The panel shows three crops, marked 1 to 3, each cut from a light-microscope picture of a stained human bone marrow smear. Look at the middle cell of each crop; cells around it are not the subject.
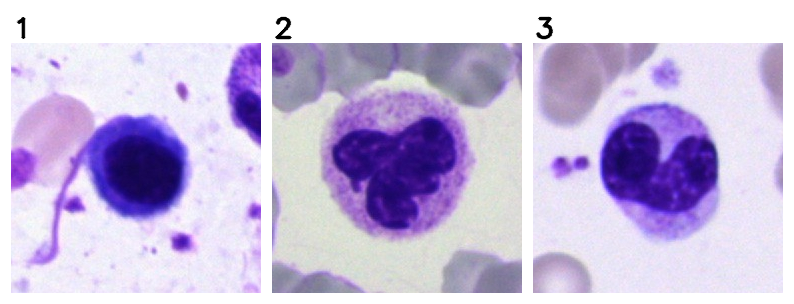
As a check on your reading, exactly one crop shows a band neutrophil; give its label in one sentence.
Only in crop 3 is a band neutrophil shown.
